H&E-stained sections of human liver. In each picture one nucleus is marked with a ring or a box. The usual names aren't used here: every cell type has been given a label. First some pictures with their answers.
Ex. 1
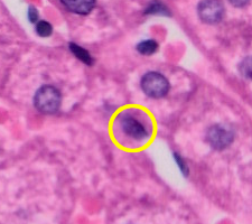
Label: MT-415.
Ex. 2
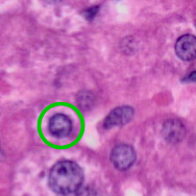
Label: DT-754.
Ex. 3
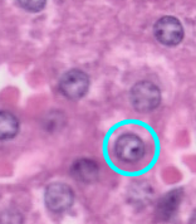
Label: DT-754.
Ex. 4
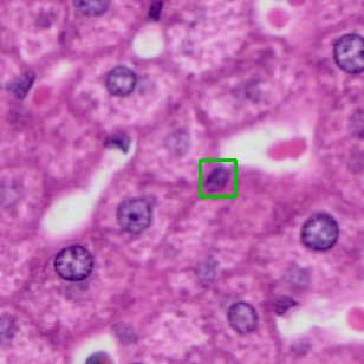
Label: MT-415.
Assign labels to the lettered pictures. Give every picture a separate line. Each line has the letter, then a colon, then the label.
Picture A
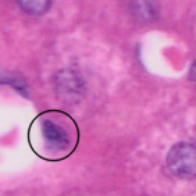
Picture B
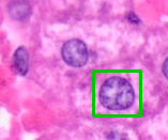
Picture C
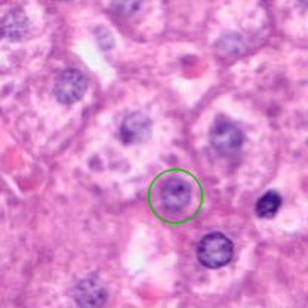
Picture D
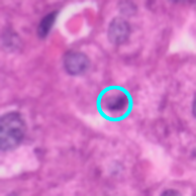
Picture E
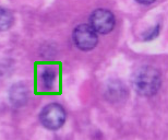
A: MT-415.
B: DT-754.
C: DT-754.
D: MT-415.
E: MT-415.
